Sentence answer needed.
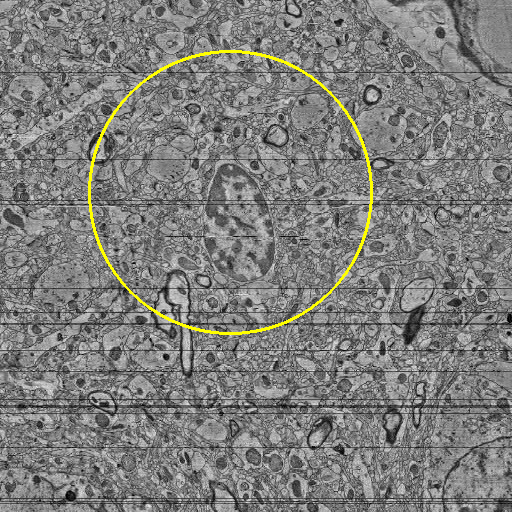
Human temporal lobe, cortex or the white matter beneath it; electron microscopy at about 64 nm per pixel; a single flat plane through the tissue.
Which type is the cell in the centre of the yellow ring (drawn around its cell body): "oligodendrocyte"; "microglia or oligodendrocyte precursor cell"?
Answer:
In the centre of the yellow ring is a microglial cell or oligodendrocyte precursor cell.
